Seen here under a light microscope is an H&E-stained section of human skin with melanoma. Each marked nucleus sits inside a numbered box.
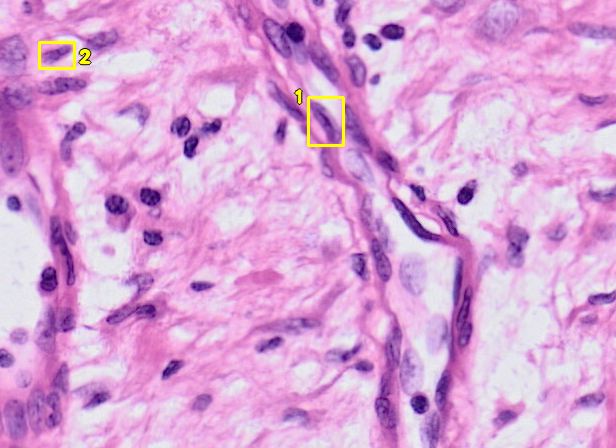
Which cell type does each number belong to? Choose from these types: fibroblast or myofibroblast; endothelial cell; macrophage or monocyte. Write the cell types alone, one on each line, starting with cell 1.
endothelial cell
macrophage or monocyte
